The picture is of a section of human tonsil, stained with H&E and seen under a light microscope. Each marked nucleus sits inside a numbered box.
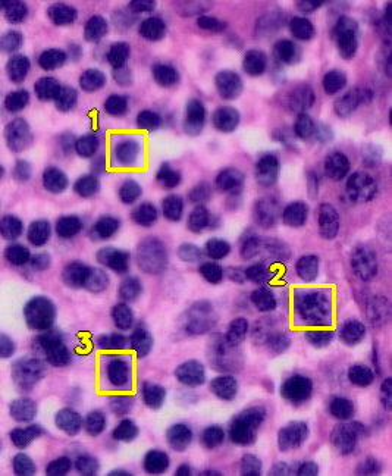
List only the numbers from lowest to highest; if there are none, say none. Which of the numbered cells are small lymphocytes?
1, 3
